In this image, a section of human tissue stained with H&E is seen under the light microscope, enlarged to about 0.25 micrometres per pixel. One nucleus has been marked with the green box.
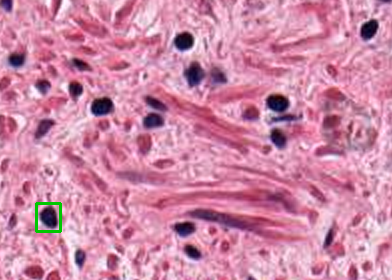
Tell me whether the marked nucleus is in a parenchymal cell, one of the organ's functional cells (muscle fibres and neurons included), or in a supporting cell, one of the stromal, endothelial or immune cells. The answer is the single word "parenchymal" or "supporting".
supporting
